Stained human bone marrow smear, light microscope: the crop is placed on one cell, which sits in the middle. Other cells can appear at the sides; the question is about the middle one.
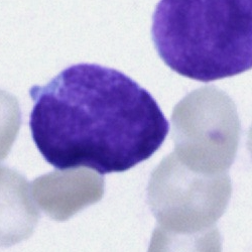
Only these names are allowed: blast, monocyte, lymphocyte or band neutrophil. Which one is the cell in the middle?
blast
